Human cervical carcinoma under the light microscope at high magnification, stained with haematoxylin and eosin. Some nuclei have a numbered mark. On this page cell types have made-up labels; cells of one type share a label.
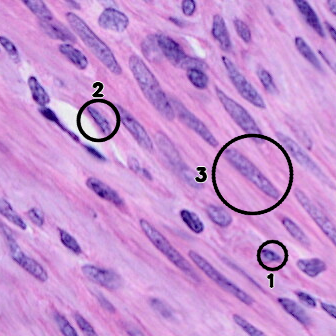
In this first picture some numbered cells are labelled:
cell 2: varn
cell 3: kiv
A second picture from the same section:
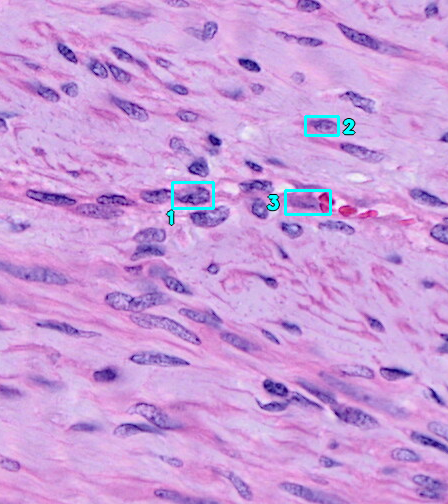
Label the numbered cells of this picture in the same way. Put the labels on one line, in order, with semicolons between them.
varn; kiv; varn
